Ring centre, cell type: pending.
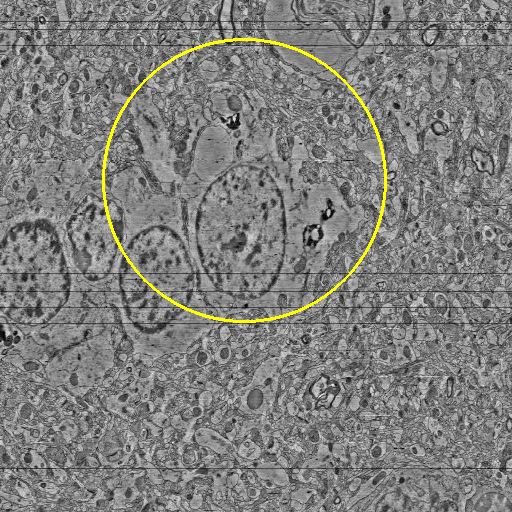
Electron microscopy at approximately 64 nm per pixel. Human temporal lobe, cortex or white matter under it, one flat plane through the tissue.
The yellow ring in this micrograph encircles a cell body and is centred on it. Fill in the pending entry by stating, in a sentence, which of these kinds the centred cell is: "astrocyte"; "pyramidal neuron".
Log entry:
The centred cell is recorded as an astrocyte.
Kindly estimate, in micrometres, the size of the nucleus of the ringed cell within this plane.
In this plane, about 9 by 6 micrometres: the nucleus is clearly longer than it is wide.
